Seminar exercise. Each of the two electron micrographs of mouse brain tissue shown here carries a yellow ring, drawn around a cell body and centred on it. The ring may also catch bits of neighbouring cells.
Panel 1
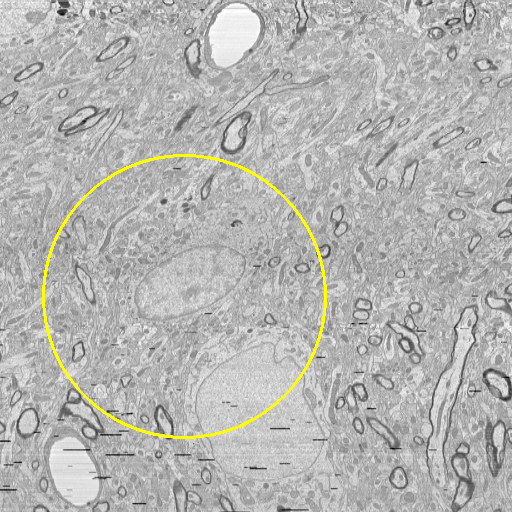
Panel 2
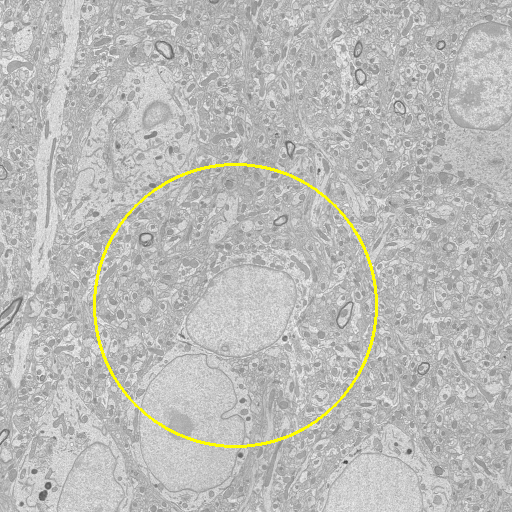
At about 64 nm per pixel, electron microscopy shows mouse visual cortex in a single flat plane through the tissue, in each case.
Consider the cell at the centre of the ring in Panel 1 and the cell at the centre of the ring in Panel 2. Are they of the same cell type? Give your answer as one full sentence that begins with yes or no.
No, the two cells are of two types.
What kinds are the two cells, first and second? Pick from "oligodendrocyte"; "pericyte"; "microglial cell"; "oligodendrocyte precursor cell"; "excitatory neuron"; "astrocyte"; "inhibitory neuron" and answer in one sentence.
The second picture holds an astrocyte in its ring, and the first holds an oligodendrocyte.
